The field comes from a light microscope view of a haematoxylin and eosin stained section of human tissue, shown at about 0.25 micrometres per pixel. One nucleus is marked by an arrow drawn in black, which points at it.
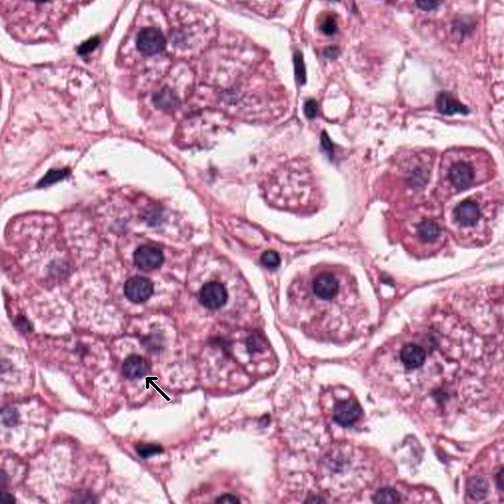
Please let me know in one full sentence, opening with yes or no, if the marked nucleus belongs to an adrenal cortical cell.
Yes, an adrenal cortical cell holds the marked nucleus.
